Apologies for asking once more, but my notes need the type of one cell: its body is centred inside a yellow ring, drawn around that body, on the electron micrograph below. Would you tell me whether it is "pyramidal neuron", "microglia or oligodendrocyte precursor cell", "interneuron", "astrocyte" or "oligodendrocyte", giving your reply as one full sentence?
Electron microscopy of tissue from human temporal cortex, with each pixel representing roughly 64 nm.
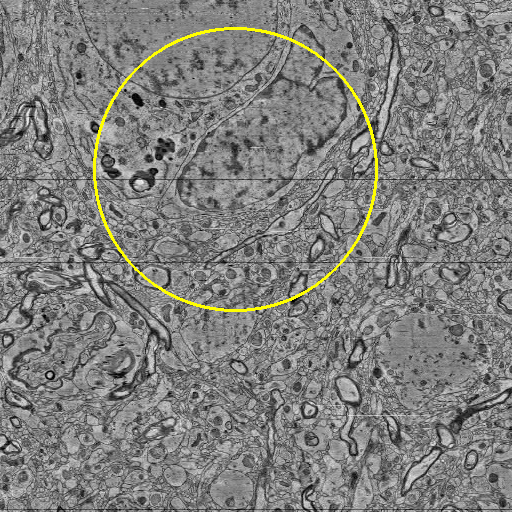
The cell that the yellow ring is centred on is a microglial cell or oligodendrocyte precursor cell in this micrograph.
